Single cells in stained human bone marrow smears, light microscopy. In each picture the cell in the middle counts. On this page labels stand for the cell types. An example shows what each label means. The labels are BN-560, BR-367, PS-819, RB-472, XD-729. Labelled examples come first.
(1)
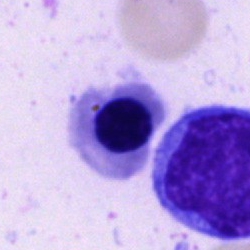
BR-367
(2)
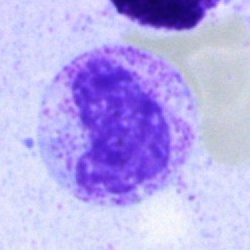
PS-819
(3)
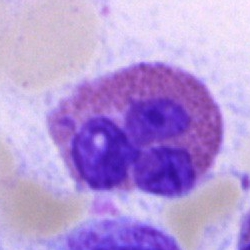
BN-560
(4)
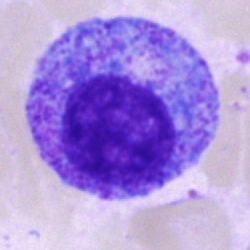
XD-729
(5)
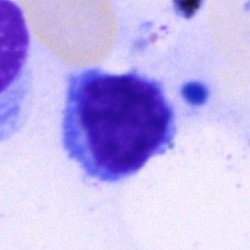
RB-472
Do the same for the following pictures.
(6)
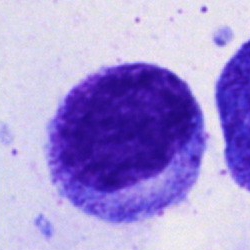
XD-729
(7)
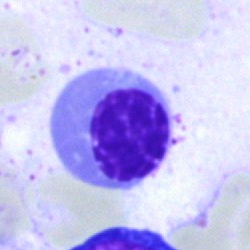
BR-367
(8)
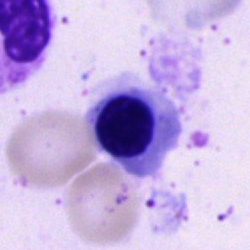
BR-367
